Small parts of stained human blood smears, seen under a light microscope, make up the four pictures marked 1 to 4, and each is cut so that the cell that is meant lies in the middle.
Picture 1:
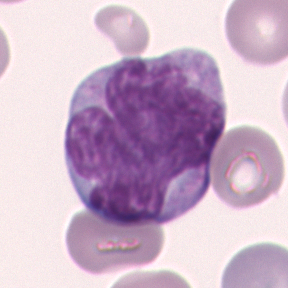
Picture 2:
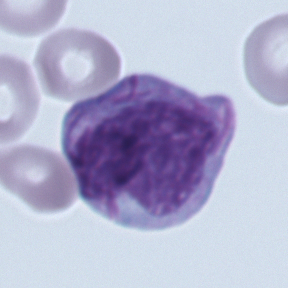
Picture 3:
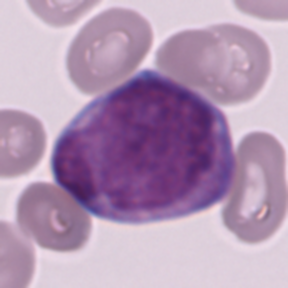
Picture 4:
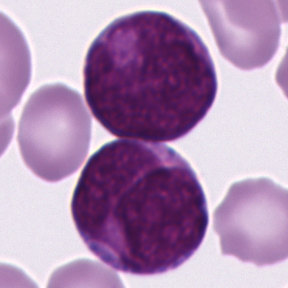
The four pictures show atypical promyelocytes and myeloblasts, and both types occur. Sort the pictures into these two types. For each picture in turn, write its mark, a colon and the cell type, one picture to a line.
1: atypical promyelocyte
2: atypical promyelocyte
3: atypical promyelocyte
4: myeloblast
